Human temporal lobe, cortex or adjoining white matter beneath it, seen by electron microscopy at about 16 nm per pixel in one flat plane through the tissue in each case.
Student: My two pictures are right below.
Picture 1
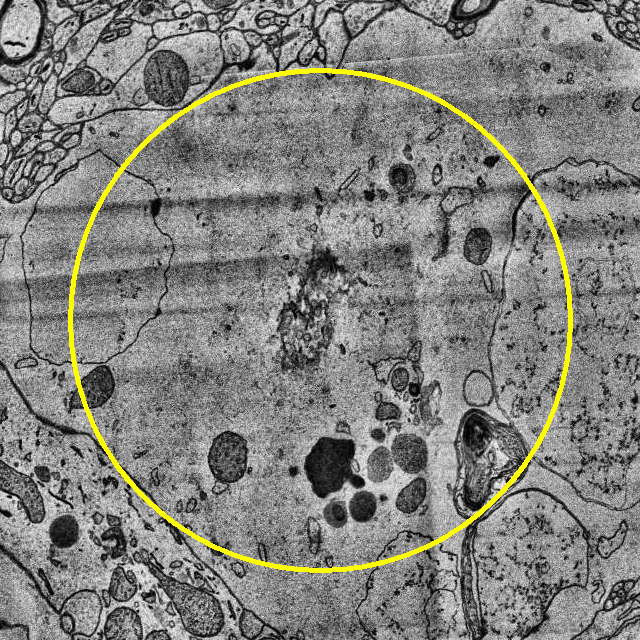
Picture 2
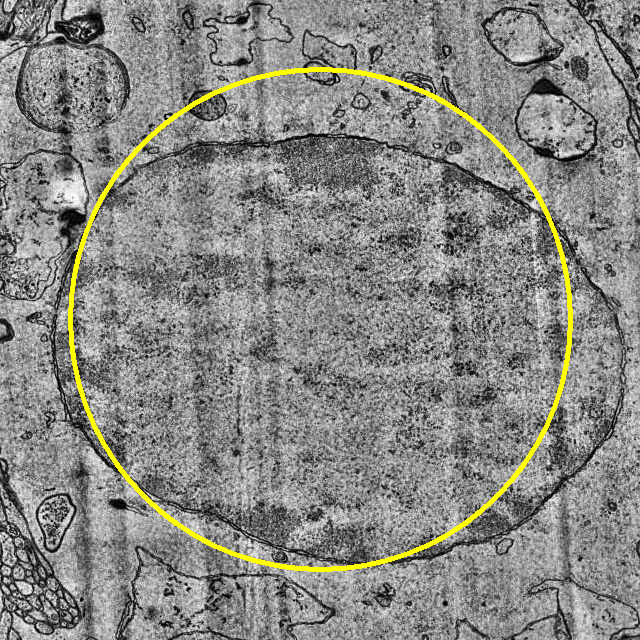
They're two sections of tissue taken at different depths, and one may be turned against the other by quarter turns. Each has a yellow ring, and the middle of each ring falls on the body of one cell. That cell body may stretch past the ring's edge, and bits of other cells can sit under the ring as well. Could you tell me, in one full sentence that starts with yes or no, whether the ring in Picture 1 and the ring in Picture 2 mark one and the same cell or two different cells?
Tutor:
Yes, each ring singles out the same cell.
